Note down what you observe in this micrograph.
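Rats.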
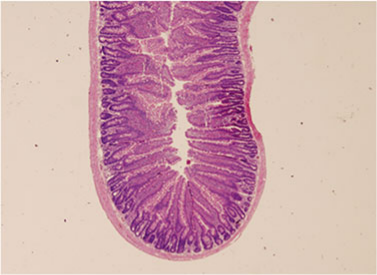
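This is a section through the small intestine showing its mucosa thrown into many tall, slender, closely packed villi that project from the wall into the lumen. The villi are long enough to nearly fill the lumen, leaving only a narrow slit-like central space. The wall beneath the mucosa is a thin, evenly pink-stained muscular layer forming the outer boundary of the tube.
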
